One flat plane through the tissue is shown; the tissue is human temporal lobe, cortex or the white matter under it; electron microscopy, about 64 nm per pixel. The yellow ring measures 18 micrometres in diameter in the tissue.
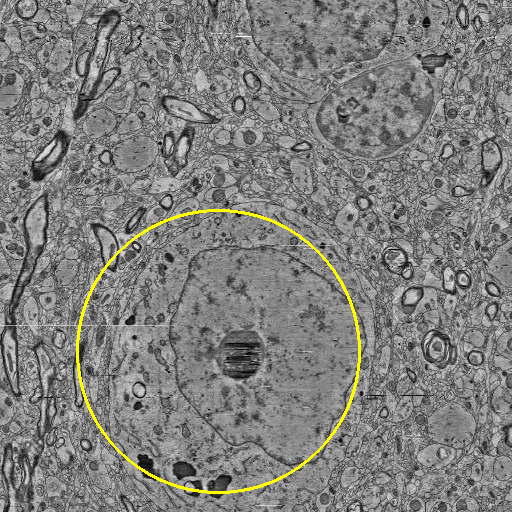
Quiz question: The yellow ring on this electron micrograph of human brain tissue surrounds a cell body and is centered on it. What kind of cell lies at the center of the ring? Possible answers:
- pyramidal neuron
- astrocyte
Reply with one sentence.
The ring's center lies on a pyramidal neuron.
